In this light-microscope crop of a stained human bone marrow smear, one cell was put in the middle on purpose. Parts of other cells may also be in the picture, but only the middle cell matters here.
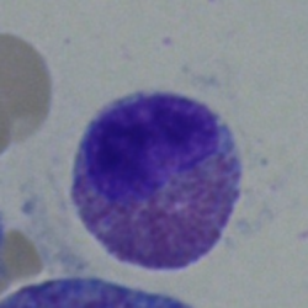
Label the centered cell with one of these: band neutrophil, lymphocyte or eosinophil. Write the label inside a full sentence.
To answer, the cell in the center of the crop is an eosinophil.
